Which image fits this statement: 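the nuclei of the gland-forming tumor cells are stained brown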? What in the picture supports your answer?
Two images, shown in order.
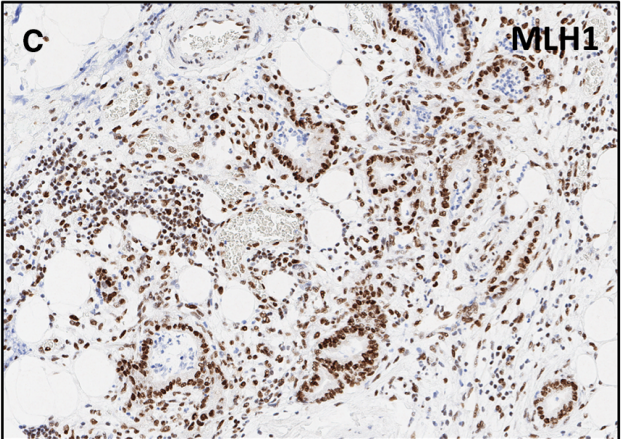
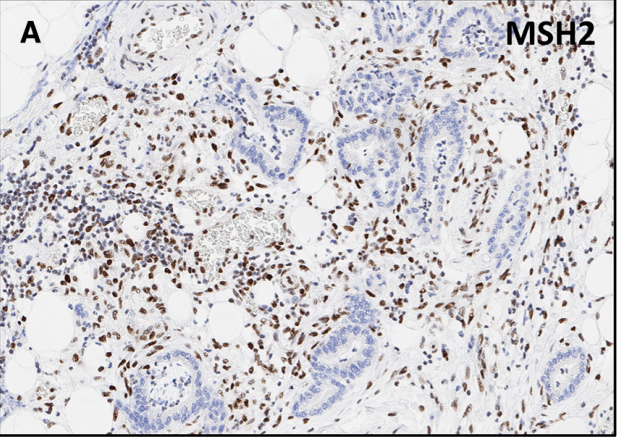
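First image: cells lining the irregular glands have strongly brown nuclei. Second image: cells lining the glands have only blue nuclei while stromal nuclei around them are brown. So: the first image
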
